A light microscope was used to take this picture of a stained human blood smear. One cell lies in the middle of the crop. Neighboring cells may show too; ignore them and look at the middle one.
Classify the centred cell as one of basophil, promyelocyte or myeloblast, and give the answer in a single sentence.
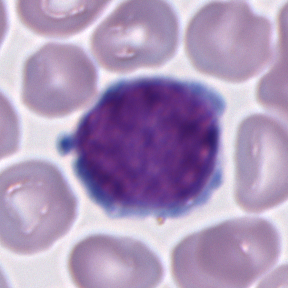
The cell at the centre of the field is a myeloblast.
